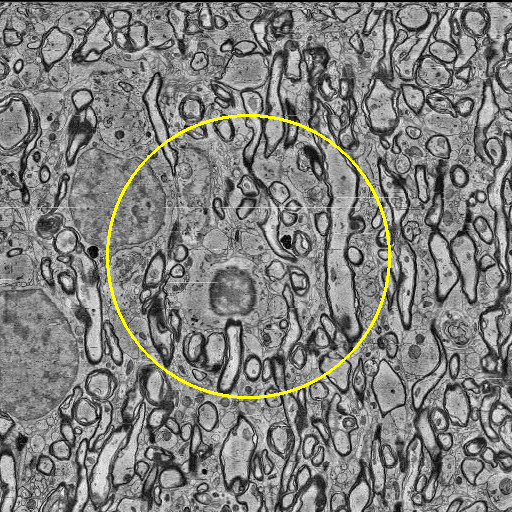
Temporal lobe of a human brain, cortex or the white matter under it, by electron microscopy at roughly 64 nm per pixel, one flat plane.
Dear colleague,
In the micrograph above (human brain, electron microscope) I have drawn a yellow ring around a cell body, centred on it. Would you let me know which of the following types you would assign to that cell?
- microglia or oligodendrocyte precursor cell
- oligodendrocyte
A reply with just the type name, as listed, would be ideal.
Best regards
microglia or oligodendrocyte precursor cell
